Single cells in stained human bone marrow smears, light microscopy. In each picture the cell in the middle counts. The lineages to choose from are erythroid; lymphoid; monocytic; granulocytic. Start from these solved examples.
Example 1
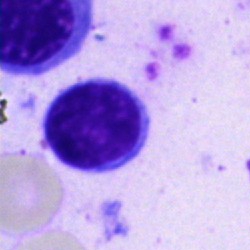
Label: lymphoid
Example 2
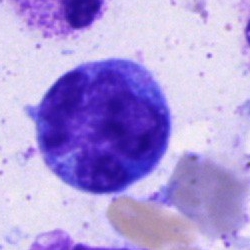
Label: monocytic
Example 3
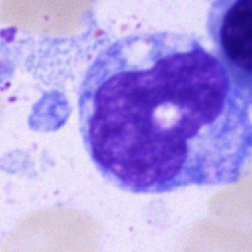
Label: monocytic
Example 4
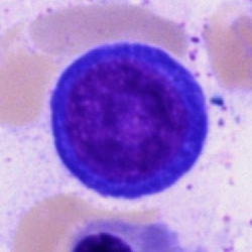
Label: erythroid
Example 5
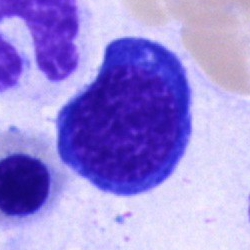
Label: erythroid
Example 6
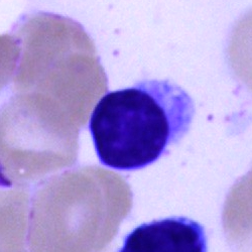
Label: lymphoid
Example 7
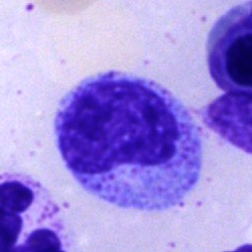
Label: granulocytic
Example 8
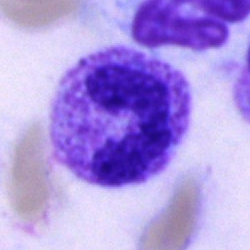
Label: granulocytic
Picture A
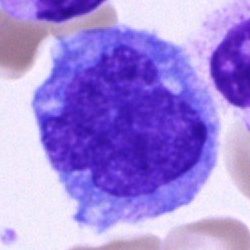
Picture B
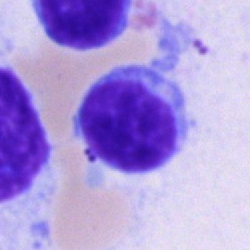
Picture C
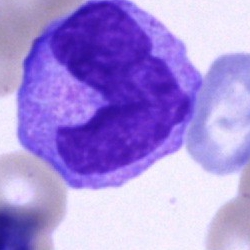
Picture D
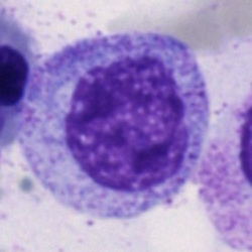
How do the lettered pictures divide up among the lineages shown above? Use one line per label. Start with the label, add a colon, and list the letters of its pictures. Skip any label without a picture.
lymphoid: B
monocytic: A, C
granulocytic: D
